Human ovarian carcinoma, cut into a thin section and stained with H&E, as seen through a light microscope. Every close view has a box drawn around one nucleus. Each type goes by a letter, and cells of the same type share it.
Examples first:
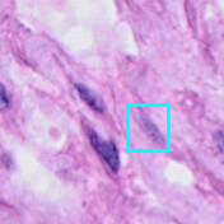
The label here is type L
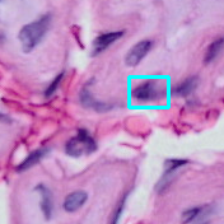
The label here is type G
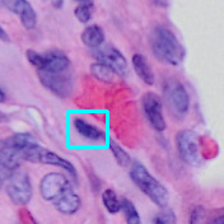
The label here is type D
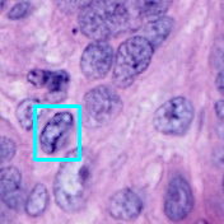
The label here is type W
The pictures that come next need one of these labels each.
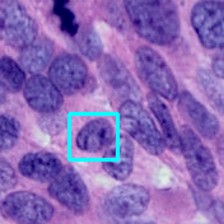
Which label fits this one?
type W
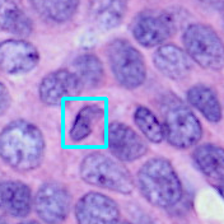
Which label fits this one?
type W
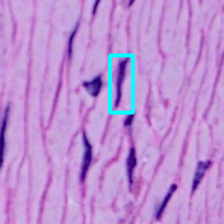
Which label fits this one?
type L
